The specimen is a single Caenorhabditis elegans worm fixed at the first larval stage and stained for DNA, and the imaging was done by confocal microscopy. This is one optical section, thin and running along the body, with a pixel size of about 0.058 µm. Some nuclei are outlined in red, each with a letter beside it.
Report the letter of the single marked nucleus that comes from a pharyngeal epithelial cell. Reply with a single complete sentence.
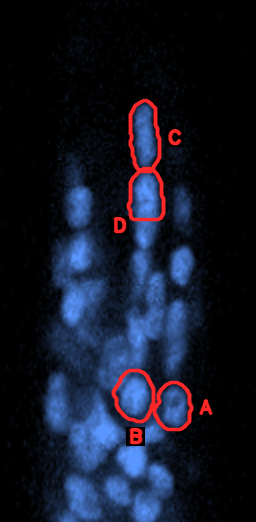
The nucleus of a pharyngeal epithelial cell is C.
